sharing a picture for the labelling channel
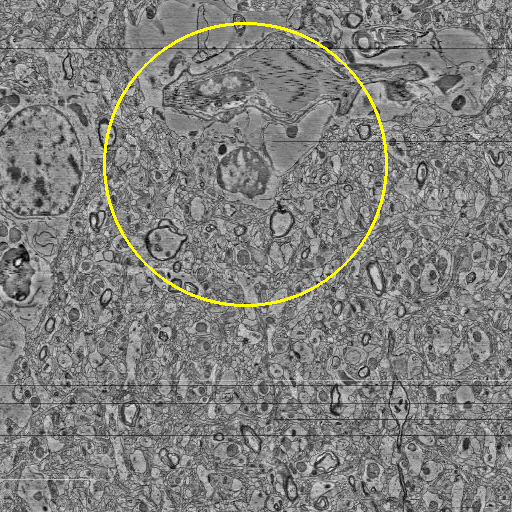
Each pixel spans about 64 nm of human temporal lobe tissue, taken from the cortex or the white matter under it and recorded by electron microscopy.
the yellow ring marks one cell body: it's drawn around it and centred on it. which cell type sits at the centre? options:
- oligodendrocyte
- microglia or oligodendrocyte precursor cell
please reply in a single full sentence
In the picture, the cell at the ring's centre is a microglial cell or oligodendrocyte precursor cell, going by the list.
